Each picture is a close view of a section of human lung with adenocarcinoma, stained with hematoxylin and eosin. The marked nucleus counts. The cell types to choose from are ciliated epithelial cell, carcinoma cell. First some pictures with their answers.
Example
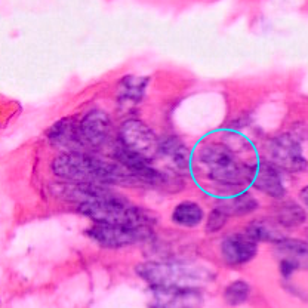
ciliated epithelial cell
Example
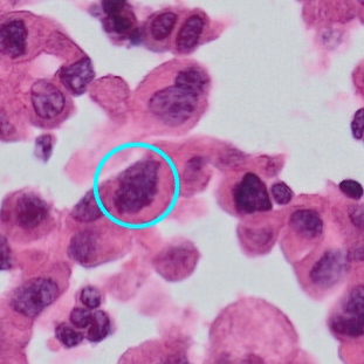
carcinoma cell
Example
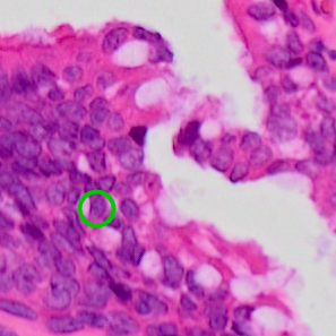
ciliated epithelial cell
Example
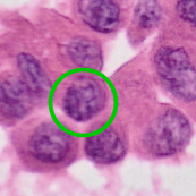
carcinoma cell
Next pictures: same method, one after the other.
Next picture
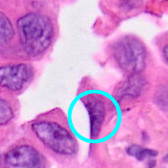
carcinoma cell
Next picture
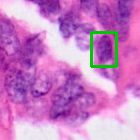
ciliated epithelial cell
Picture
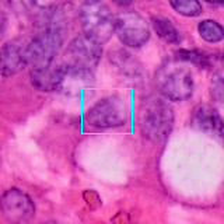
ciliated epithelial cell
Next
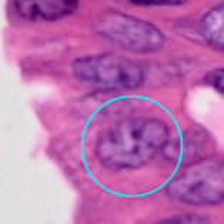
carcinoma cell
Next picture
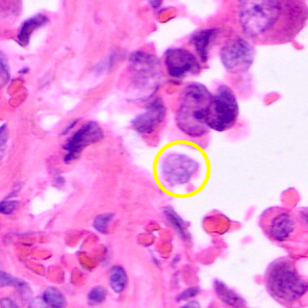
carcinoma cell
